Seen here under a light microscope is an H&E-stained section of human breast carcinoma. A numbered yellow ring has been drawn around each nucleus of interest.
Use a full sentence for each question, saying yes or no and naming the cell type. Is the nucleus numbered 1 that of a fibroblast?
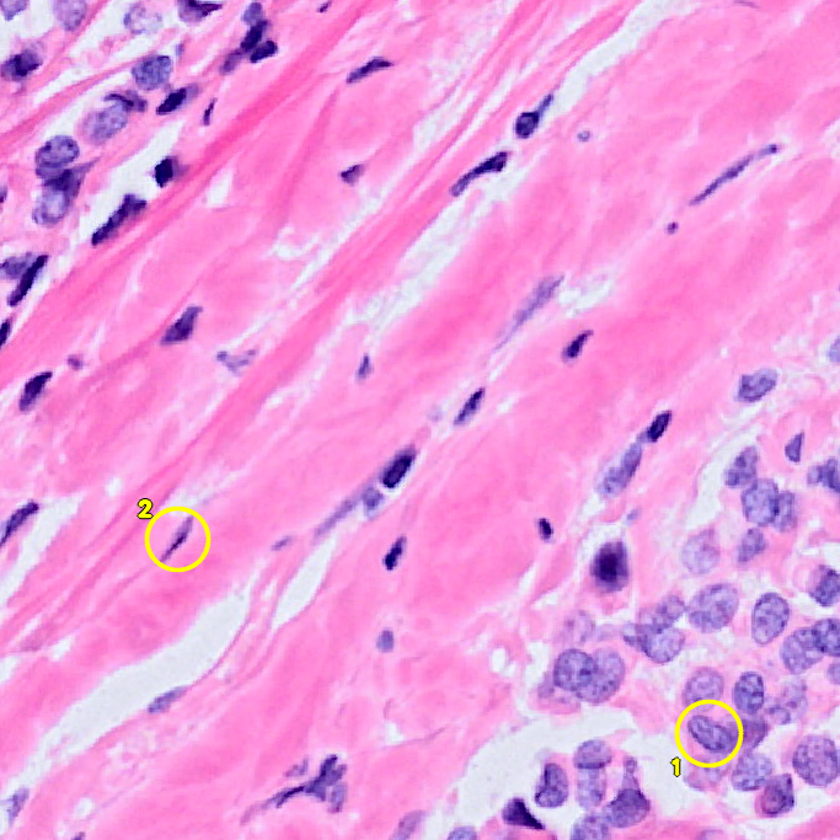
No, cell number 1 is identified as a carcinoma cell, not as a fibroblast.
